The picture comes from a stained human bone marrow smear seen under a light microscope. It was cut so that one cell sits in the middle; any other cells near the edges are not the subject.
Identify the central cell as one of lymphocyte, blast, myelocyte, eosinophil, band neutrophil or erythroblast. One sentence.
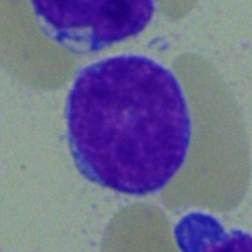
The middle cell in this particular crop is a blast.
